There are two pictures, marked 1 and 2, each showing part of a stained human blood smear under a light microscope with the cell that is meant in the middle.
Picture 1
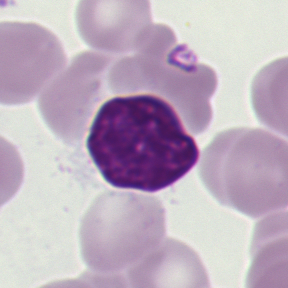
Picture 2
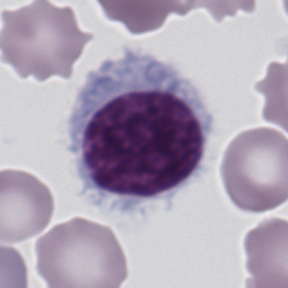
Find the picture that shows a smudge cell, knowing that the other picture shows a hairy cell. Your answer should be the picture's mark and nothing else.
1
